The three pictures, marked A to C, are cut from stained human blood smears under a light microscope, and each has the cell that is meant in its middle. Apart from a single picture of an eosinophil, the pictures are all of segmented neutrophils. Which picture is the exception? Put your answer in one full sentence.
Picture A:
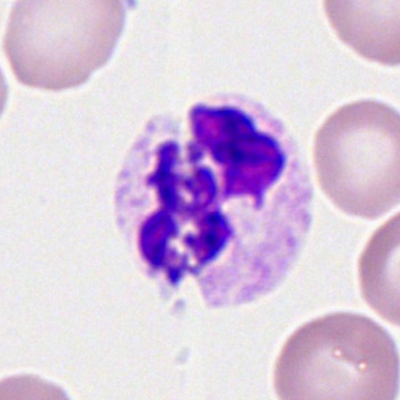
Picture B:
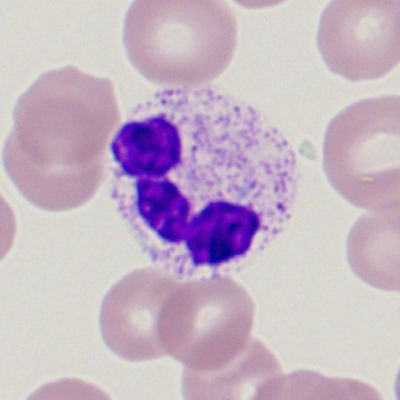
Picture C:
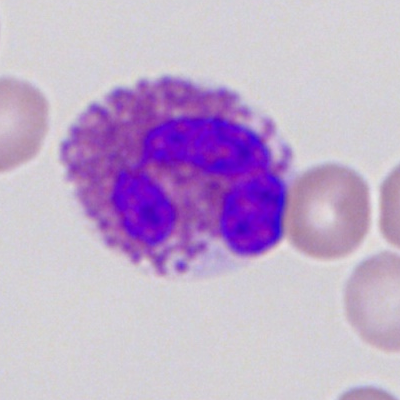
Picture C shows the eosinophil.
